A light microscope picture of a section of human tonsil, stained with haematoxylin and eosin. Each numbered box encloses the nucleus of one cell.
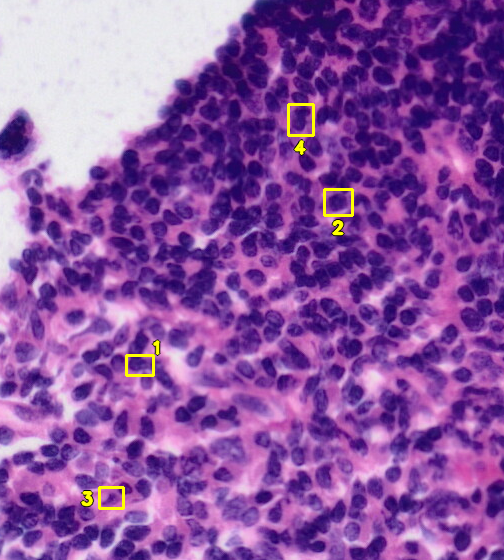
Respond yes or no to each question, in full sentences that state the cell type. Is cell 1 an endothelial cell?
No, cell 1 is not an endothelial cell; a small lymphocyte is the correct identification.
